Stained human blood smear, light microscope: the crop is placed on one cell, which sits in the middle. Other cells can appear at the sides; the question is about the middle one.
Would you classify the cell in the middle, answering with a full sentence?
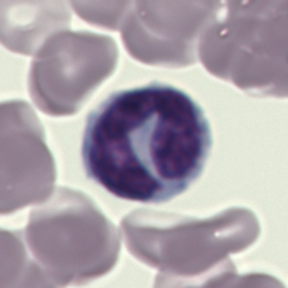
As for the central cell, it is a monocyte.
